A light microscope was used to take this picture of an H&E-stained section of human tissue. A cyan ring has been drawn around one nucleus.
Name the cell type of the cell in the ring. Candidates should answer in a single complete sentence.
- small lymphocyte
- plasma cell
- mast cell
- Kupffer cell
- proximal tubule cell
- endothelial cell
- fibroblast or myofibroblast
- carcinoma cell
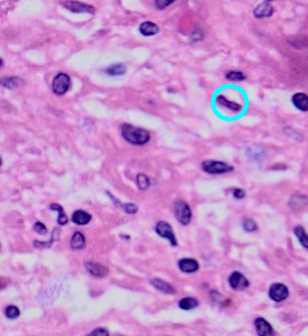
As classified here, the cell in the ring is a fibroblast or myofibroblast.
